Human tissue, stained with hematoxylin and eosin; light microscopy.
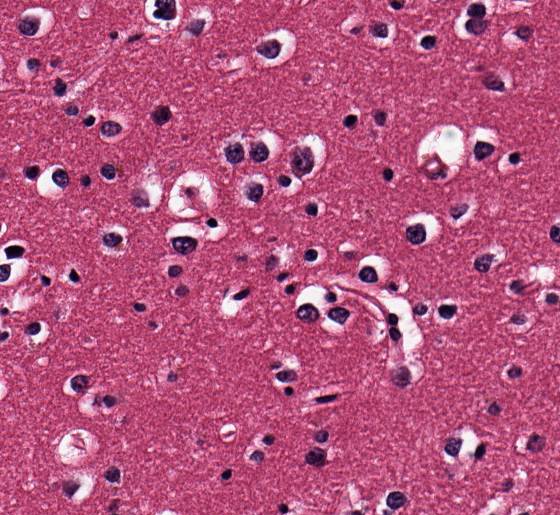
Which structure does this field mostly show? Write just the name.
cerebral cortex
